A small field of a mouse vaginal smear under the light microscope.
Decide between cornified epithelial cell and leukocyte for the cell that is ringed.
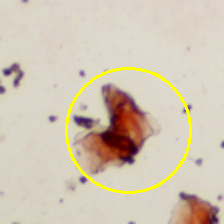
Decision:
I take the ringed cell for a cornified epithelial cell.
